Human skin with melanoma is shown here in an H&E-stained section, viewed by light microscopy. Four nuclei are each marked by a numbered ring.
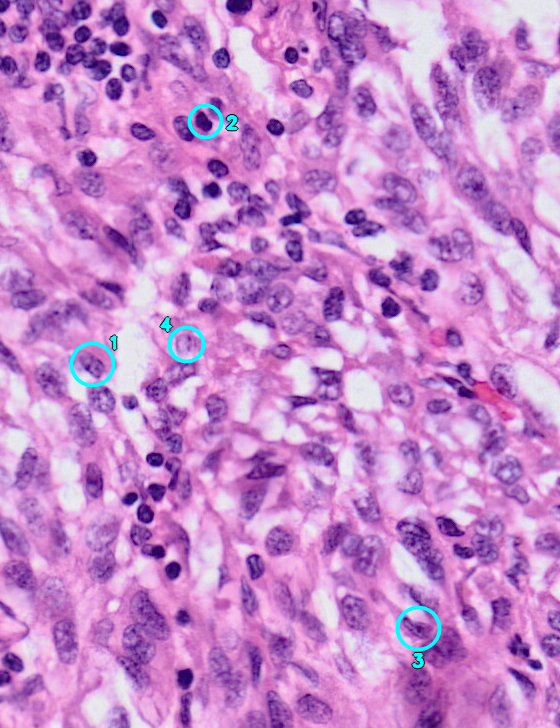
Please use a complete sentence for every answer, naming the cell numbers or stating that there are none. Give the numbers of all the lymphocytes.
It is cell 2, and no other numbered cell, that is a lymphocyte.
